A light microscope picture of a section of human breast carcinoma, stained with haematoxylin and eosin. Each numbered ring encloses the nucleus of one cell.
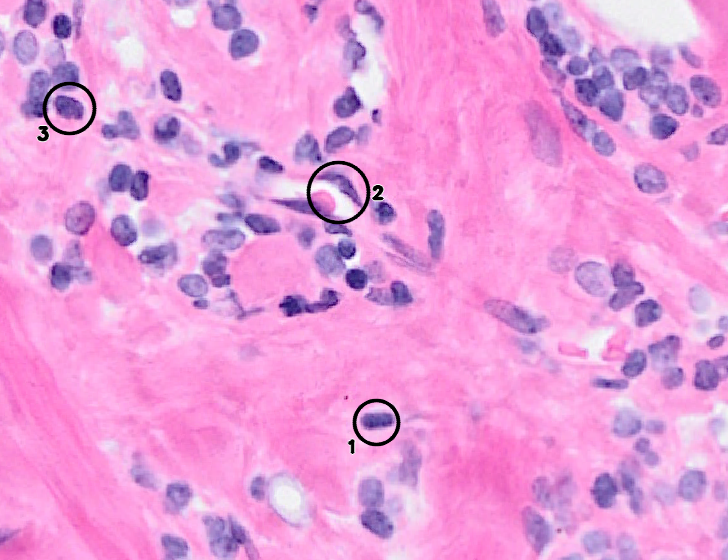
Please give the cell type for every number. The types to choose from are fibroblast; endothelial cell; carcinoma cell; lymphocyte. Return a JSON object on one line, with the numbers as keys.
{"1": "lymphocyte", "2": "endothelial cell", "3": "lymphocyte"}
